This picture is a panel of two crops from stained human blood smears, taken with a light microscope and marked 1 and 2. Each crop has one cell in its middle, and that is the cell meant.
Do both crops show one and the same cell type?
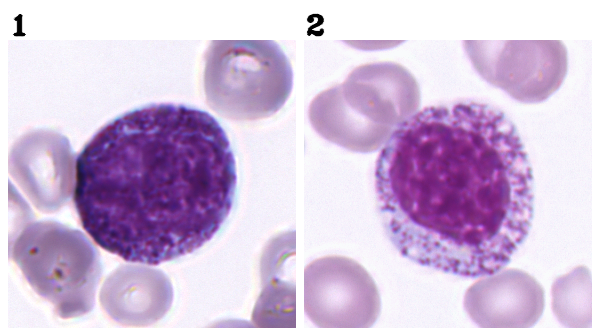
yes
